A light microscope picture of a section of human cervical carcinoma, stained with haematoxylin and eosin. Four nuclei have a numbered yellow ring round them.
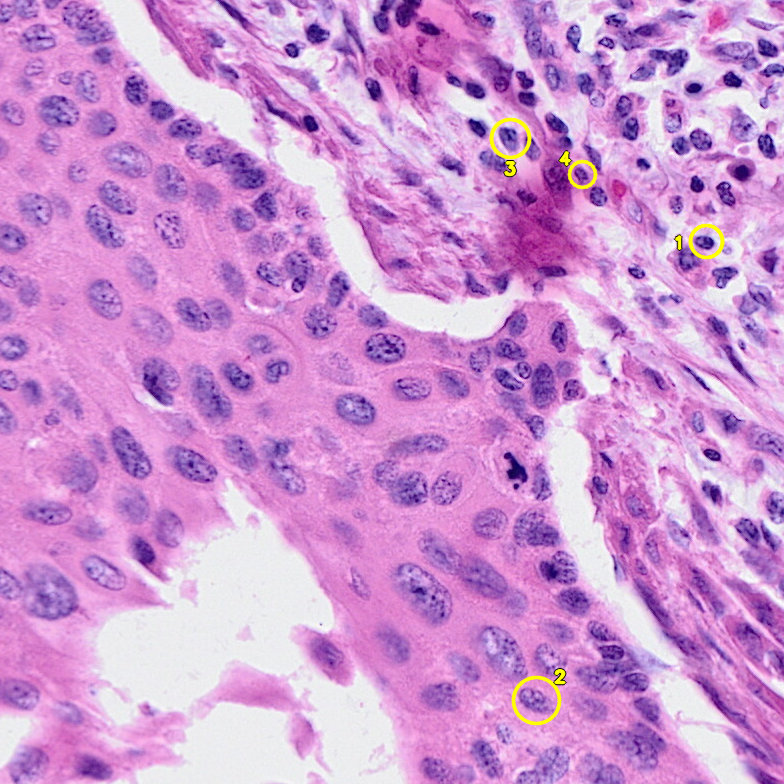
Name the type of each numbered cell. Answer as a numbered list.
1. lymphocyte
2. squamous carcinoma cell
3. lymphocyte
4. lymphocyte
